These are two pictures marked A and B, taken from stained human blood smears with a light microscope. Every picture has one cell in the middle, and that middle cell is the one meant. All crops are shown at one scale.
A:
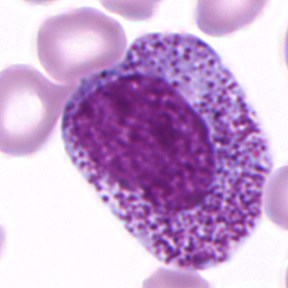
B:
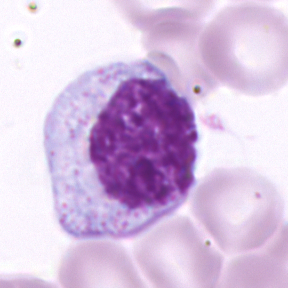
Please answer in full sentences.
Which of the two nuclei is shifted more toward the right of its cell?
The nucleus in crop B lies further toward the right of its cell.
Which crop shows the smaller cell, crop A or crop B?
It is the cell in crop B; the cell in crop A has about 1.5 times its area.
